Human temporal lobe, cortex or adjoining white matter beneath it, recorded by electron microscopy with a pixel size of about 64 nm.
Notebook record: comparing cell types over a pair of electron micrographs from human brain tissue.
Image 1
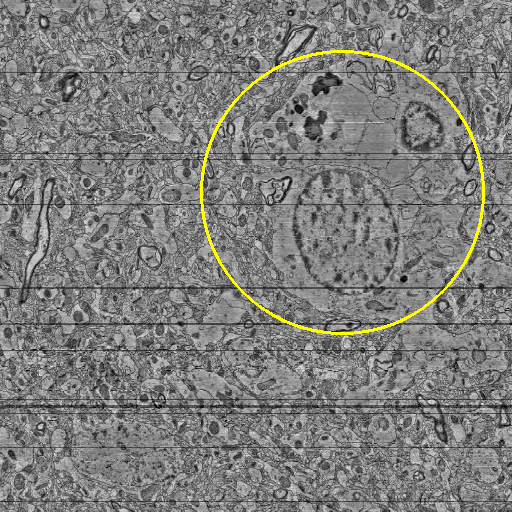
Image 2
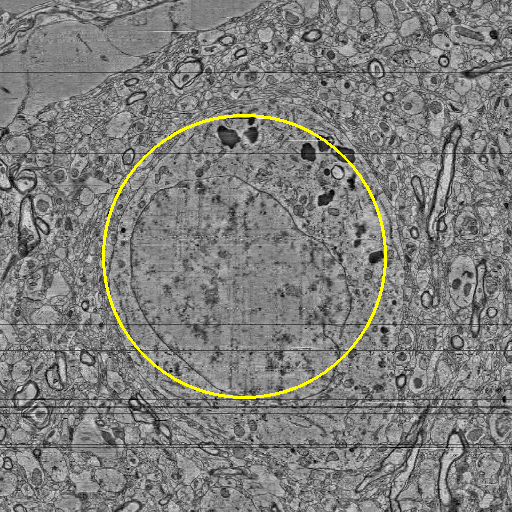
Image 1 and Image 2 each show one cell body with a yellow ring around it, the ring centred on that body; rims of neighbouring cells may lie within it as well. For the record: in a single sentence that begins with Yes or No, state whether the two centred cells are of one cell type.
No, two cell types are found among the centred cells of Image 1 and Image 2.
